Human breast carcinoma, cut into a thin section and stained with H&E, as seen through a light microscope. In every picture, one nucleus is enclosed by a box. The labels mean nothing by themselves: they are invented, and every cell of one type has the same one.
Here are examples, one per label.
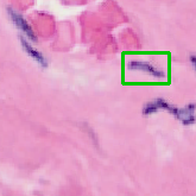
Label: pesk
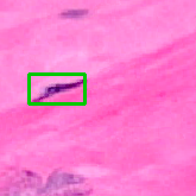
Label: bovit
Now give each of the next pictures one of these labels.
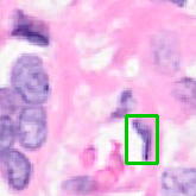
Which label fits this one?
pesk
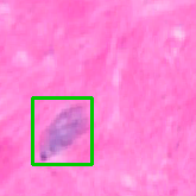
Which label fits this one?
bovit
